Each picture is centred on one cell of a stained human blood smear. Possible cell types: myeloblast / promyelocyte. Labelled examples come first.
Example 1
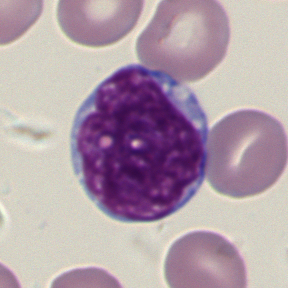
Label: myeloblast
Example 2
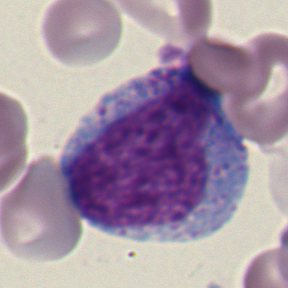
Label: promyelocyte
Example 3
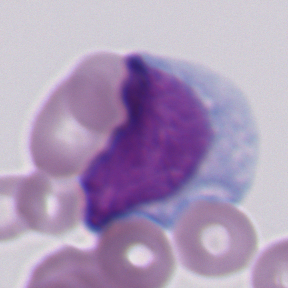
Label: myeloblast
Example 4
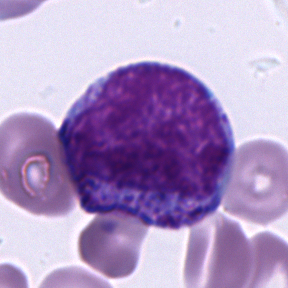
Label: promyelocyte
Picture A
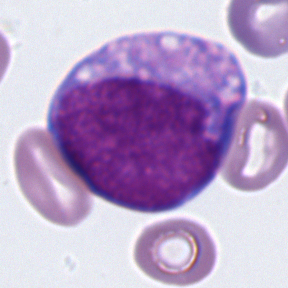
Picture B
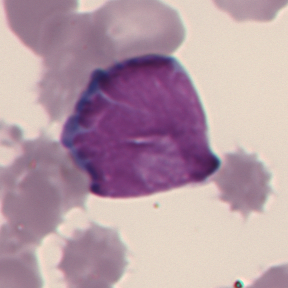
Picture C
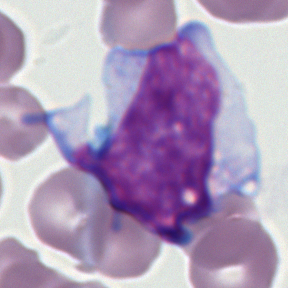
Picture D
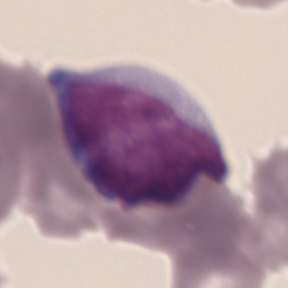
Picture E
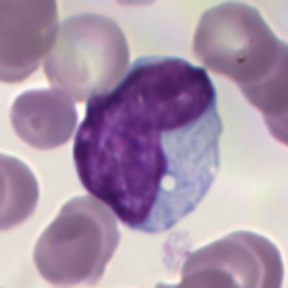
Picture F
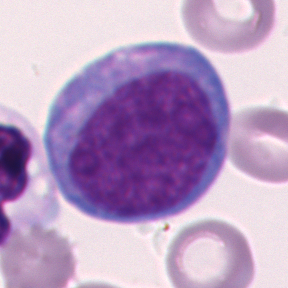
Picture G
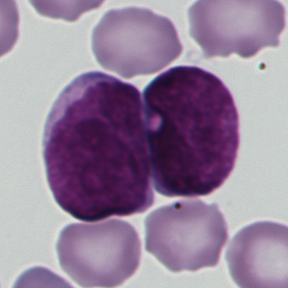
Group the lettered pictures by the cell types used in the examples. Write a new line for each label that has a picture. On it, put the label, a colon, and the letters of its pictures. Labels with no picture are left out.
myeloblast: B, C, D, E, G
promyelocyte: A, F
